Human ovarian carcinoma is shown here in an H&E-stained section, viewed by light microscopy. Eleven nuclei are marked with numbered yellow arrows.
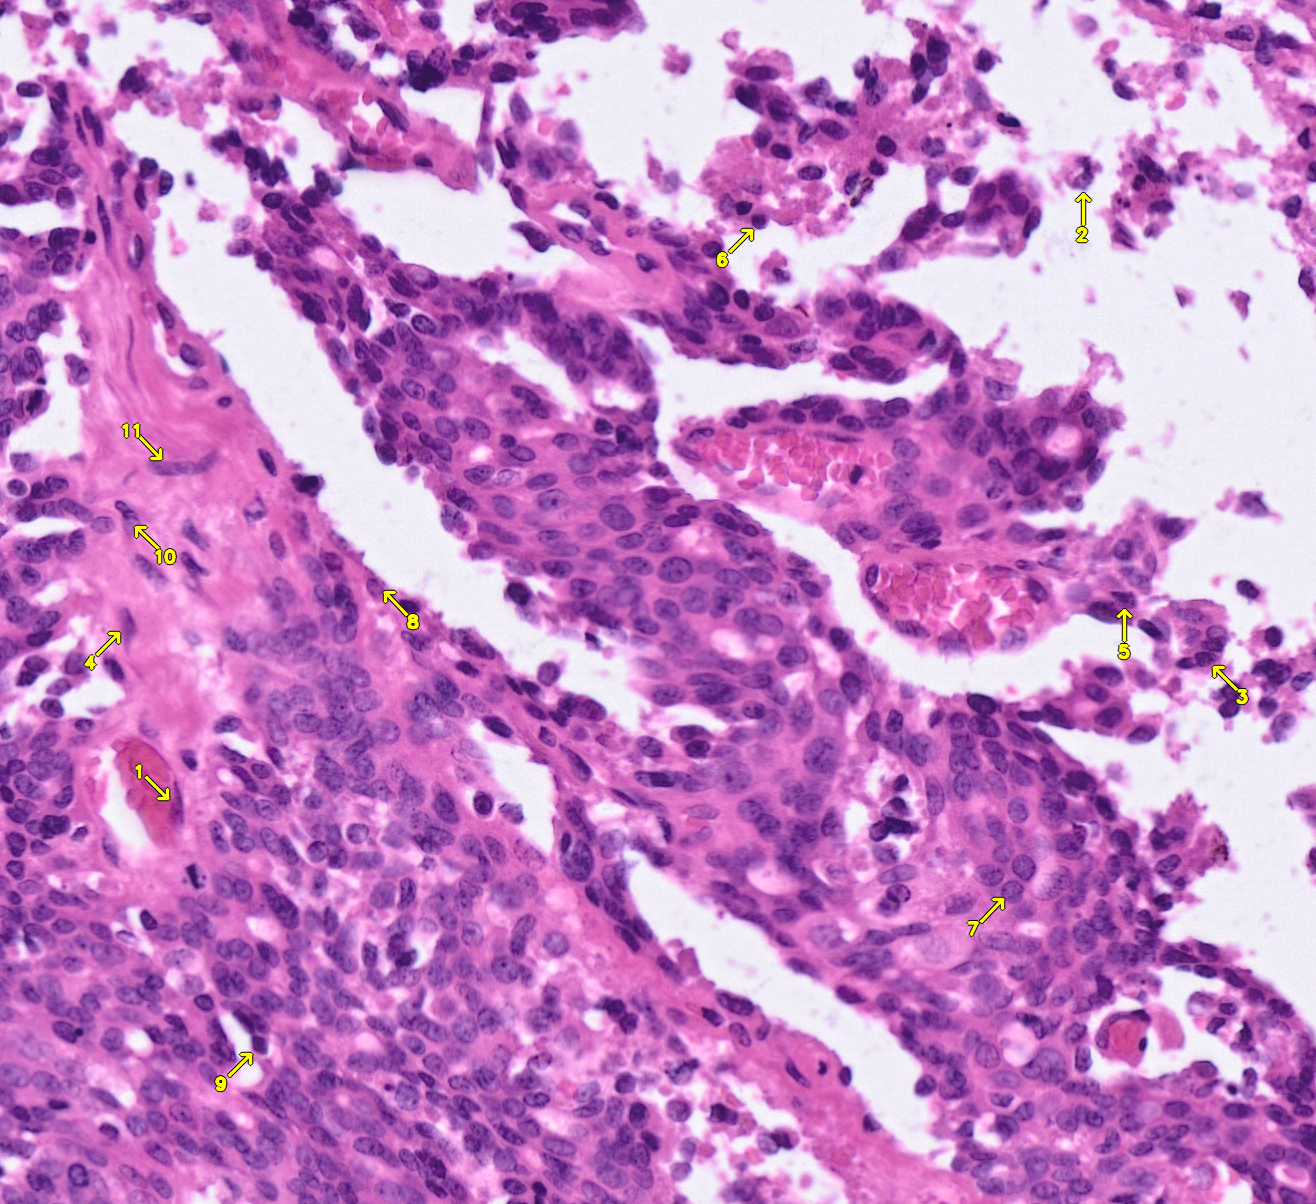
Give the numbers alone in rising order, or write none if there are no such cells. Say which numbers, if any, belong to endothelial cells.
1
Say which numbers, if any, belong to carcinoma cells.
3, 5, 7, 9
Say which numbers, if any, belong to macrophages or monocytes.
2, 6, 8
